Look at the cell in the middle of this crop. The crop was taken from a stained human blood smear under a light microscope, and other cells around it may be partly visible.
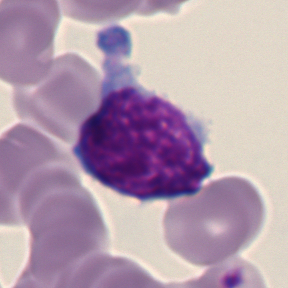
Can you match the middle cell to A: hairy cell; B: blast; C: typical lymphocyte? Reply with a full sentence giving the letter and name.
What option C states is correct, the central cell being a typical lymphocyte.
